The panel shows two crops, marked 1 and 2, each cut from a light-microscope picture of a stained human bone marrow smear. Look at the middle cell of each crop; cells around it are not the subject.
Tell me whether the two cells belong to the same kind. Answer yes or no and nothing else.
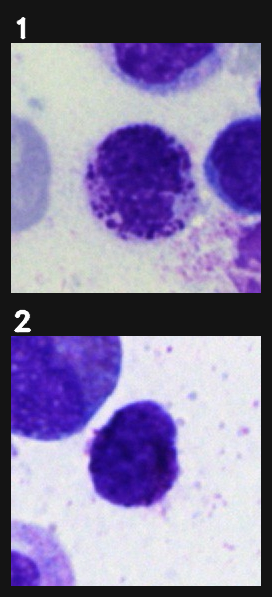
yes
